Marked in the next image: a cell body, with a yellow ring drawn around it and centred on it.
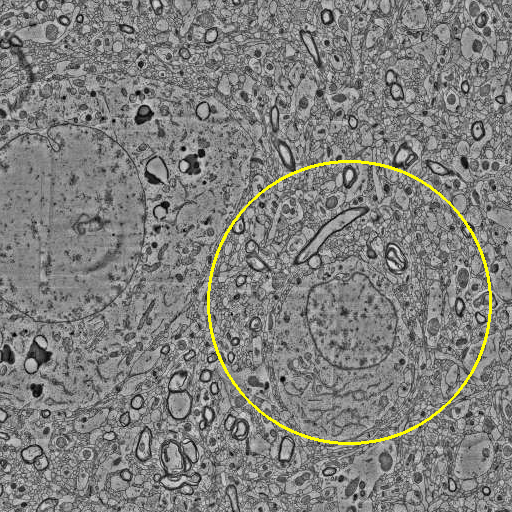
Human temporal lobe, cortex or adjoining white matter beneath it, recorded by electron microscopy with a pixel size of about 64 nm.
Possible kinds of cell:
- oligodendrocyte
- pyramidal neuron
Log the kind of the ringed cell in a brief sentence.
The ringed cell body is that of a pyramidal neuron.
